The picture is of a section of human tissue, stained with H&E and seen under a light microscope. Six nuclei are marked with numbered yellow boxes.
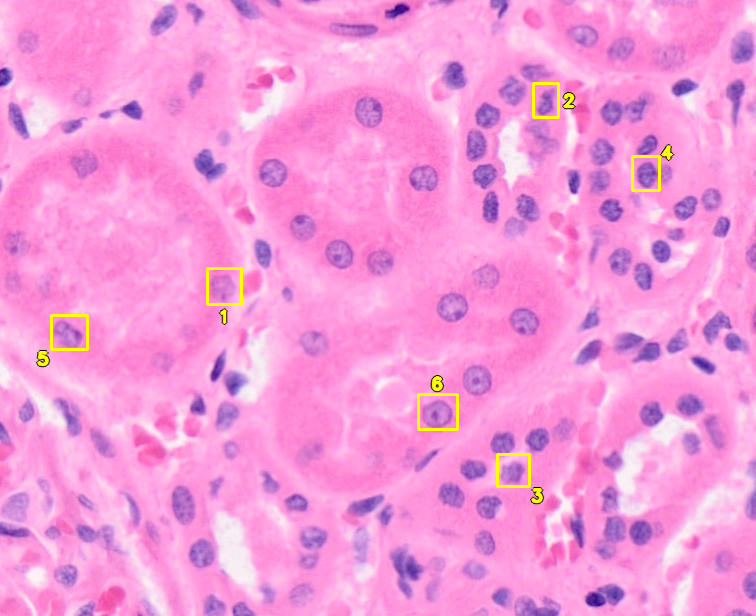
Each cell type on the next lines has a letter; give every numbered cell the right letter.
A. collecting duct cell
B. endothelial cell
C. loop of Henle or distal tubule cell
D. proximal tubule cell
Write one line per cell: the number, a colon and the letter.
1: D
2: A
3: C
4: A
5: D
6: D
